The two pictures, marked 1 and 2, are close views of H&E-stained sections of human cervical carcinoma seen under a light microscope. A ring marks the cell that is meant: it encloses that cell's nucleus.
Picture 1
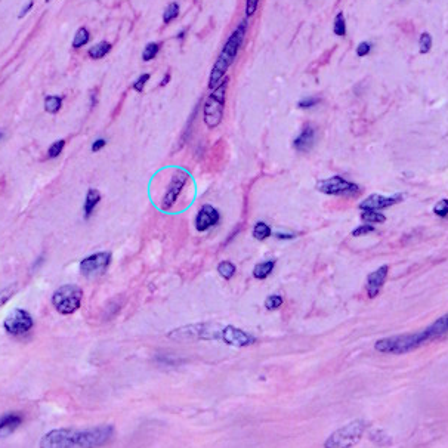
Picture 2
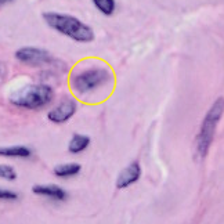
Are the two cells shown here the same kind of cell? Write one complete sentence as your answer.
Yes, the two pictures both show endothelial cells.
